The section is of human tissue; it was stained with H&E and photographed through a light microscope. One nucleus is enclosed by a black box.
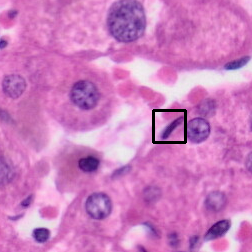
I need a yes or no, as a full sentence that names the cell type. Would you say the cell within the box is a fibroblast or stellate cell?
Yes, the cell within the box is recognized as a fibroblast or stellate cell in this section.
